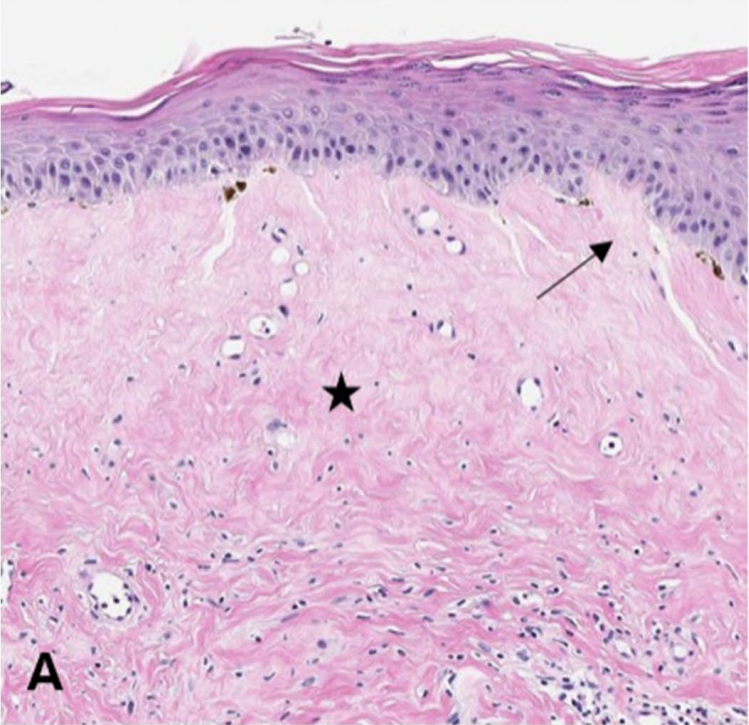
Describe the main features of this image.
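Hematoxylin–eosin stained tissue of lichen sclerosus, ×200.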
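This is skin, with a thin layer of stratified squamous epidermis covered by a pink layer of keratin at the top. The epidermis is fairly flat, with few downward projections into the dermis, and a few brown pigment granules sit near its base. Directly beneath it lies a wide band of upper dermis that is pale pink and glassy, the collagen looking homogenized rather than arranged in separate fibers. This pale band holds few nuclei and some small empty-looking spaces. Deeper down, the dermis returns to more ordinary wavy pink collagen bundles with scattered dark spindle-shaped and round nuclei.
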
